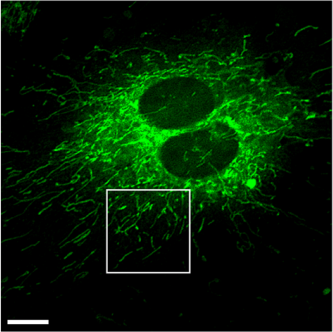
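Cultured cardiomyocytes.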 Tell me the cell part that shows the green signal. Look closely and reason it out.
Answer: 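Mitochondria. Green threadlike and rod-shaped organelles fill the cytoplasm. The threads are densest around the nuclei and thin out towards the cell edge.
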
